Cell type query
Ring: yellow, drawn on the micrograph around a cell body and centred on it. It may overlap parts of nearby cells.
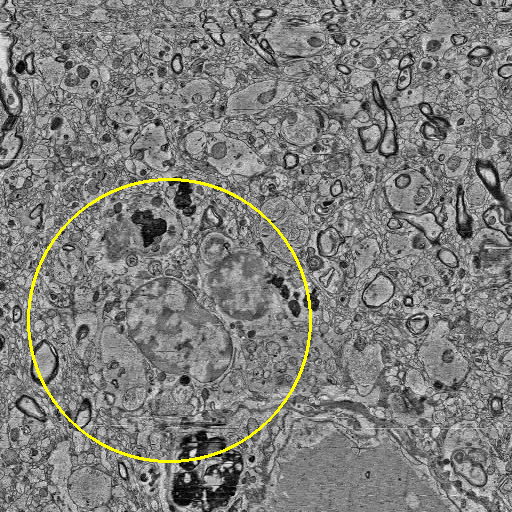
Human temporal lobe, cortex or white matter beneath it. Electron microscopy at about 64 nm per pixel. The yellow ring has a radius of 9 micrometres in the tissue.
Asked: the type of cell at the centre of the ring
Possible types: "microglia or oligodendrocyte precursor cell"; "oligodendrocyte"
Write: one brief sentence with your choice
The ring marks a microglial cell or oligodendrocyte precursor cell.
